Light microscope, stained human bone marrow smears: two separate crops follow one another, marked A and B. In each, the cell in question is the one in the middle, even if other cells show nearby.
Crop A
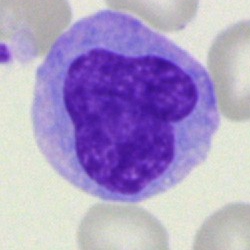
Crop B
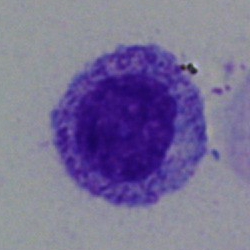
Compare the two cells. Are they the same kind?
no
